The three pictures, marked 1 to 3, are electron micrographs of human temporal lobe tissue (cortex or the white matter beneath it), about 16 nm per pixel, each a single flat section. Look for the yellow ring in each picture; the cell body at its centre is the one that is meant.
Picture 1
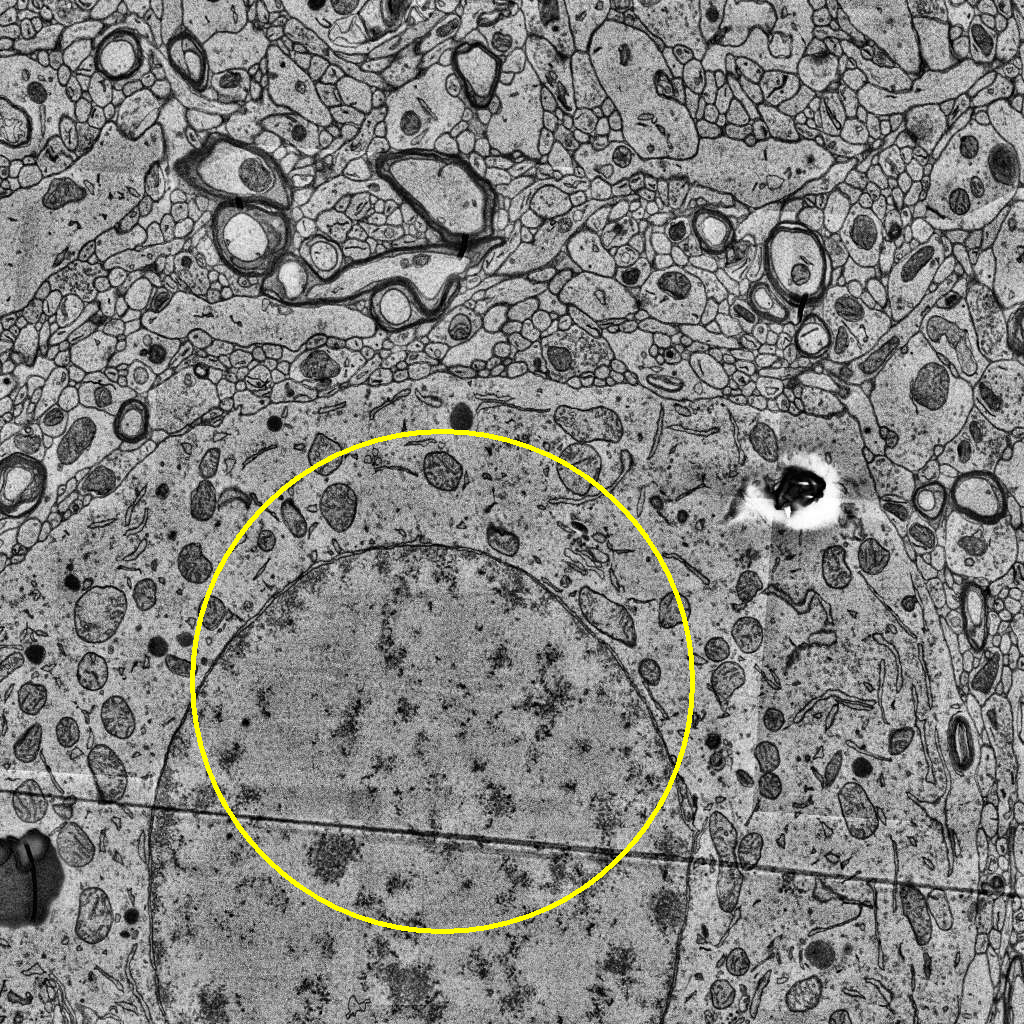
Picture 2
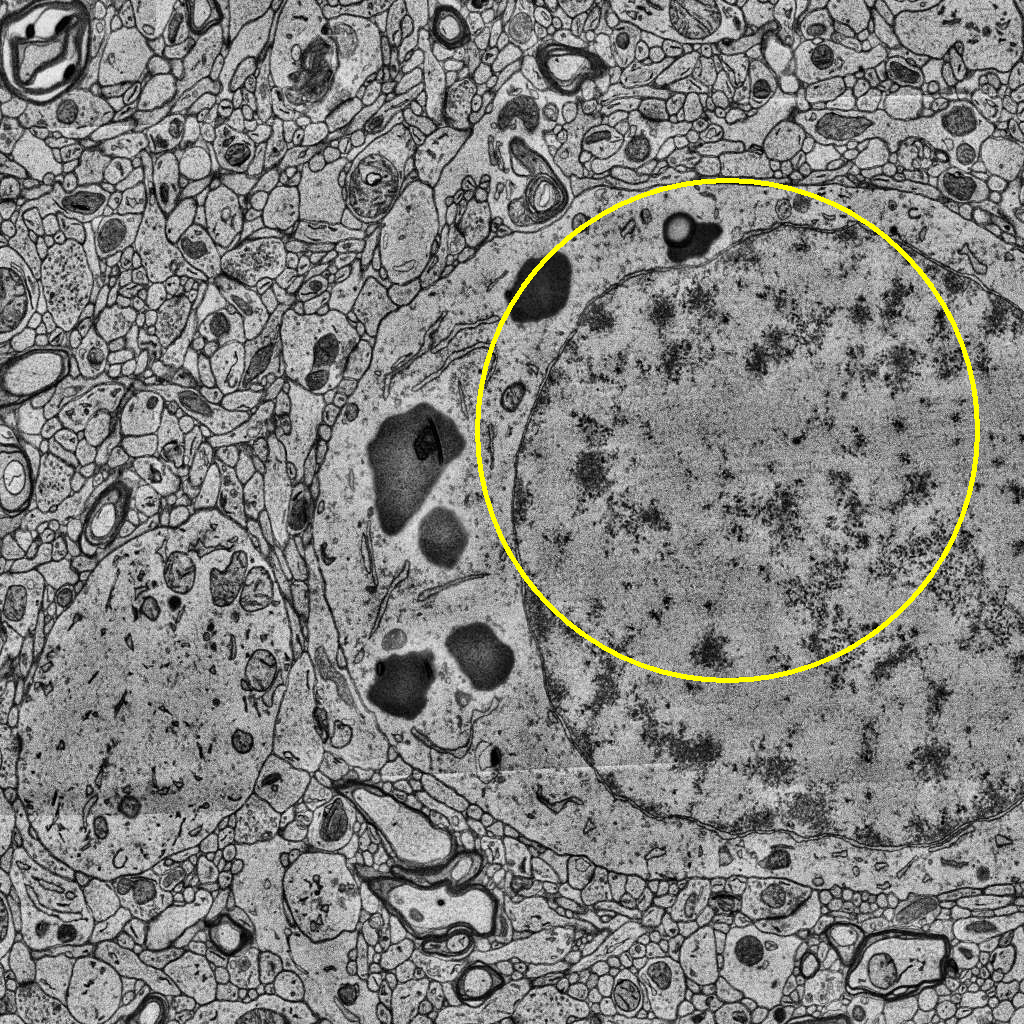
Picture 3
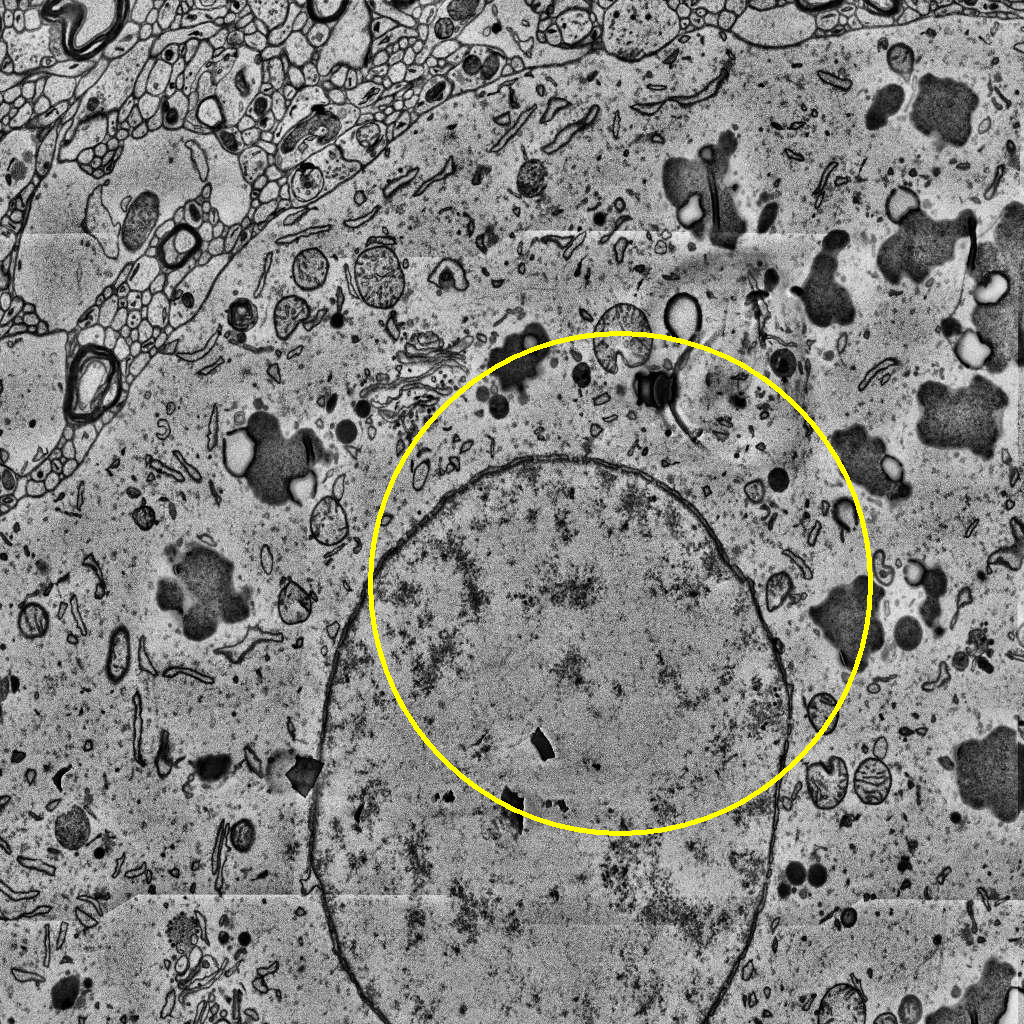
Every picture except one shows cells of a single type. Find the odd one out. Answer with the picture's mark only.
3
